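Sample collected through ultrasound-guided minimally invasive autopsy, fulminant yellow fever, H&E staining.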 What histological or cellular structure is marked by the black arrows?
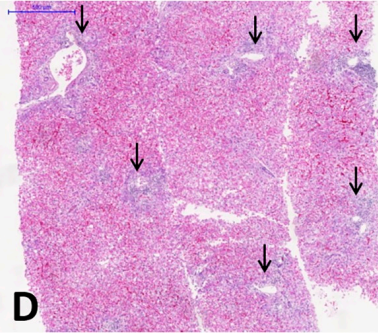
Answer: Portal tracts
